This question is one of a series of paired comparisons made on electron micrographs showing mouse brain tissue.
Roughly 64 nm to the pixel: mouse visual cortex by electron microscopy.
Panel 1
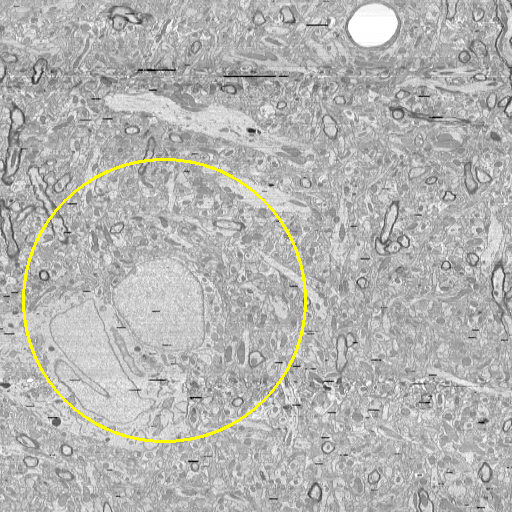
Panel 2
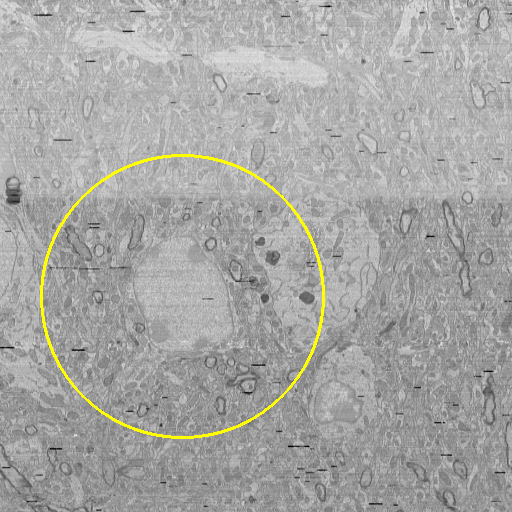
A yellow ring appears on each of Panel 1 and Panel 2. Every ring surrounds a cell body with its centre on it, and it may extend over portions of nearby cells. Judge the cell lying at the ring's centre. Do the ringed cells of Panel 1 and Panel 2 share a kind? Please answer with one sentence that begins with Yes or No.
Yes, the ring-centre cell in Panel 1 and the one in Panel 2 are of one kind.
